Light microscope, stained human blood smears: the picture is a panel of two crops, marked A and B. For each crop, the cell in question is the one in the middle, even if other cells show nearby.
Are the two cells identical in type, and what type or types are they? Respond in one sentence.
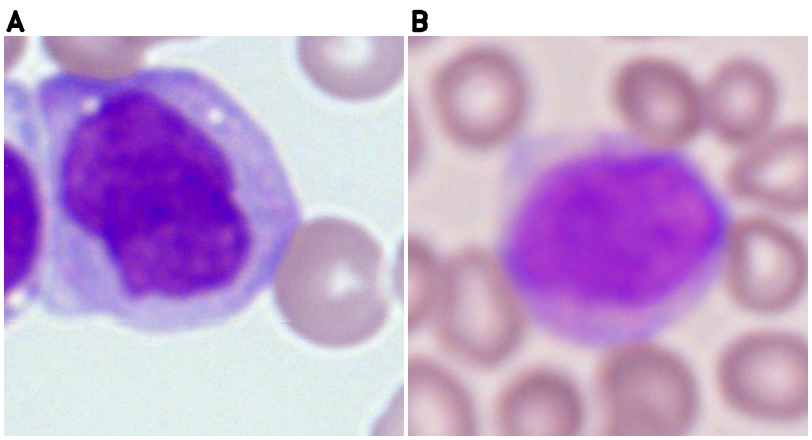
Yes, that holds, both crops show monocytes.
